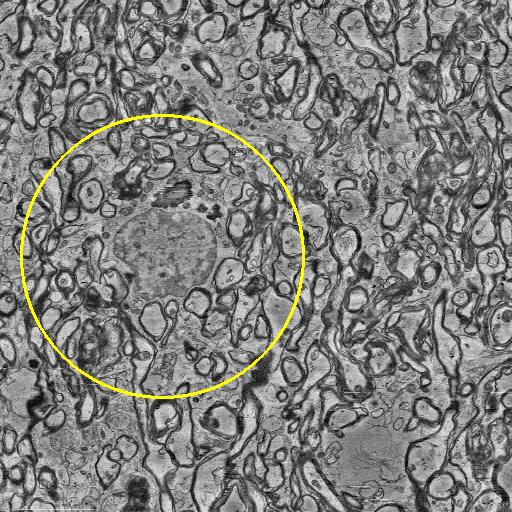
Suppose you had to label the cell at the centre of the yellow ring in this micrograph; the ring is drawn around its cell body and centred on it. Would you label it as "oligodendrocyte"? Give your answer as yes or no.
Yes, I would label it that way.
